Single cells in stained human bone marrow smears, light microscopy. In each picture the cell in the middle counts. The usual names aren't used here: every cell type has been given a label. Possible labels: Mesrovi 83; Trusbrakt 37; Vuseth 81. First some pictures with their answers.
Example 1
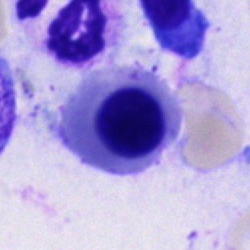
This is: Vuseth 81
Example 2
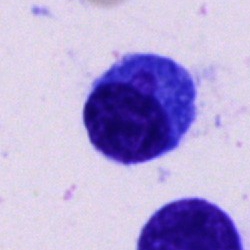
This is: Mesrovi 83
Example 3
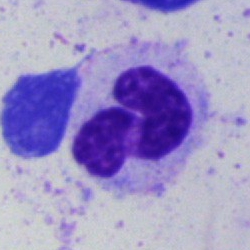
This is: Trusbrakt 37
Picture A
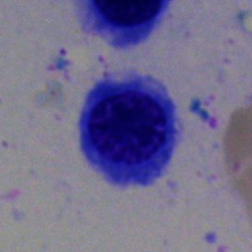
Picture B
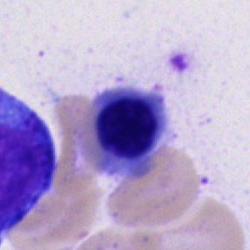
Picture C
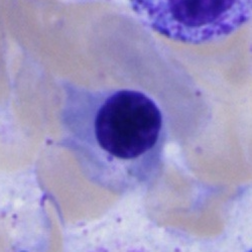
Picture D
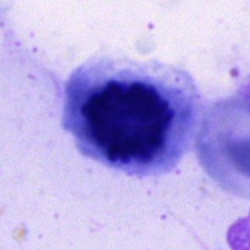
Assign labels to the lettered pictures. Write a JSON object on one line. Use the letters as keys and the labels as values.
{"A": "Vuseth 81", "B": "Vuseth 81", "C": "Vuseth 81", "D": "Vuseth 81"}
